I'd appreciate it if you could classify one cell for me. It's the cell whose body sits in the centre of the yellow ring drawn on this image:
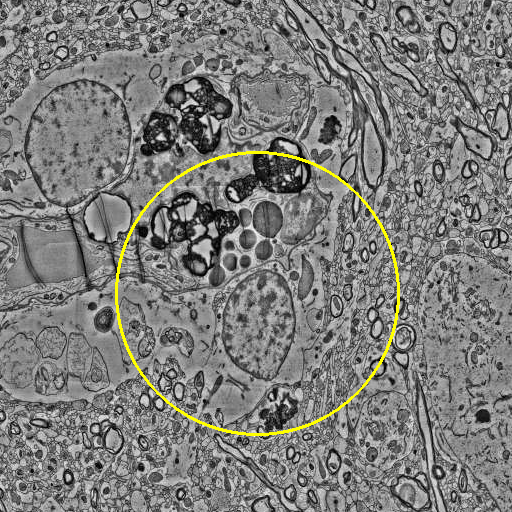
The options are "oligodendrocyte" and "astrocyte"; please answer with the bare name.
astrocyte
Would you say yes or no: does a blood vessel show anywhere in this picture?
Yes, a vessel shows somewhere in the image.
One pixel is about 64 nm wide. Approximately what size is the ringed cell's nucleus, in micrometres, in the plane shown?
About 7 by 5 micrometres, the nucleus being clearly longer than it is wide in this plane.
